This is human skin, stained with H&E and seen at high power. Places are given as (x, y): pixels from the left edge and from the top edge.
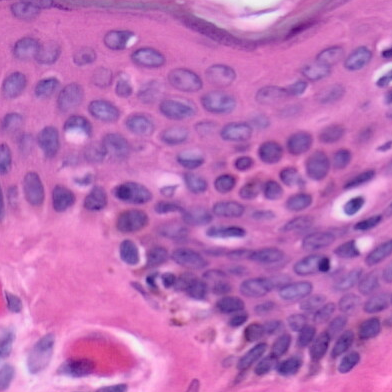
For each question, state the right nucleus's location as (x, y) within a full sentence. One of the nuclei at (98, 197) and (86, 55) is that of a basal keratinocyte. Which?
The nucleus whose cell is a basal keratinocyte is the one at (98, 197).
